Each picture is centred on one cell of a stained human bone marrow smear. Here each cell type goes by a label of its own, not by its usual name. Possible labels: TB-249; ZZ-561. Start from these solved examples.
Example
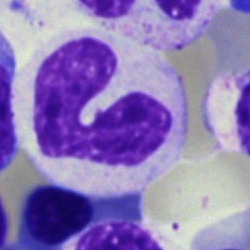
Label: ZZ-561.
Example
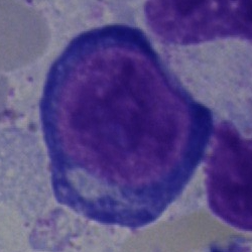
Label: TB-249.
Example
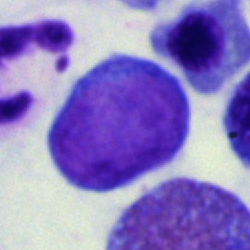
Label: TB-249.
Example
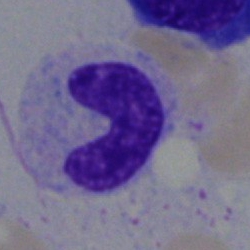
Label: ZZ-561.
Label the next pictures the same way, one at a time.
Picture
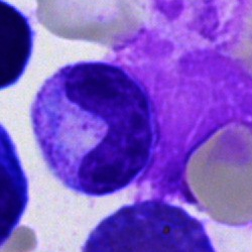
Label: ZZ-561.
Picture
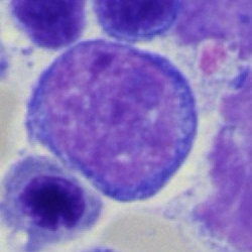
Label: TB-249.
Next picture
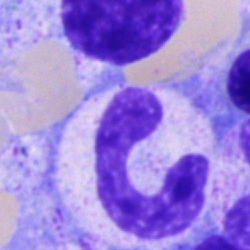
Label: ZZ-561.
